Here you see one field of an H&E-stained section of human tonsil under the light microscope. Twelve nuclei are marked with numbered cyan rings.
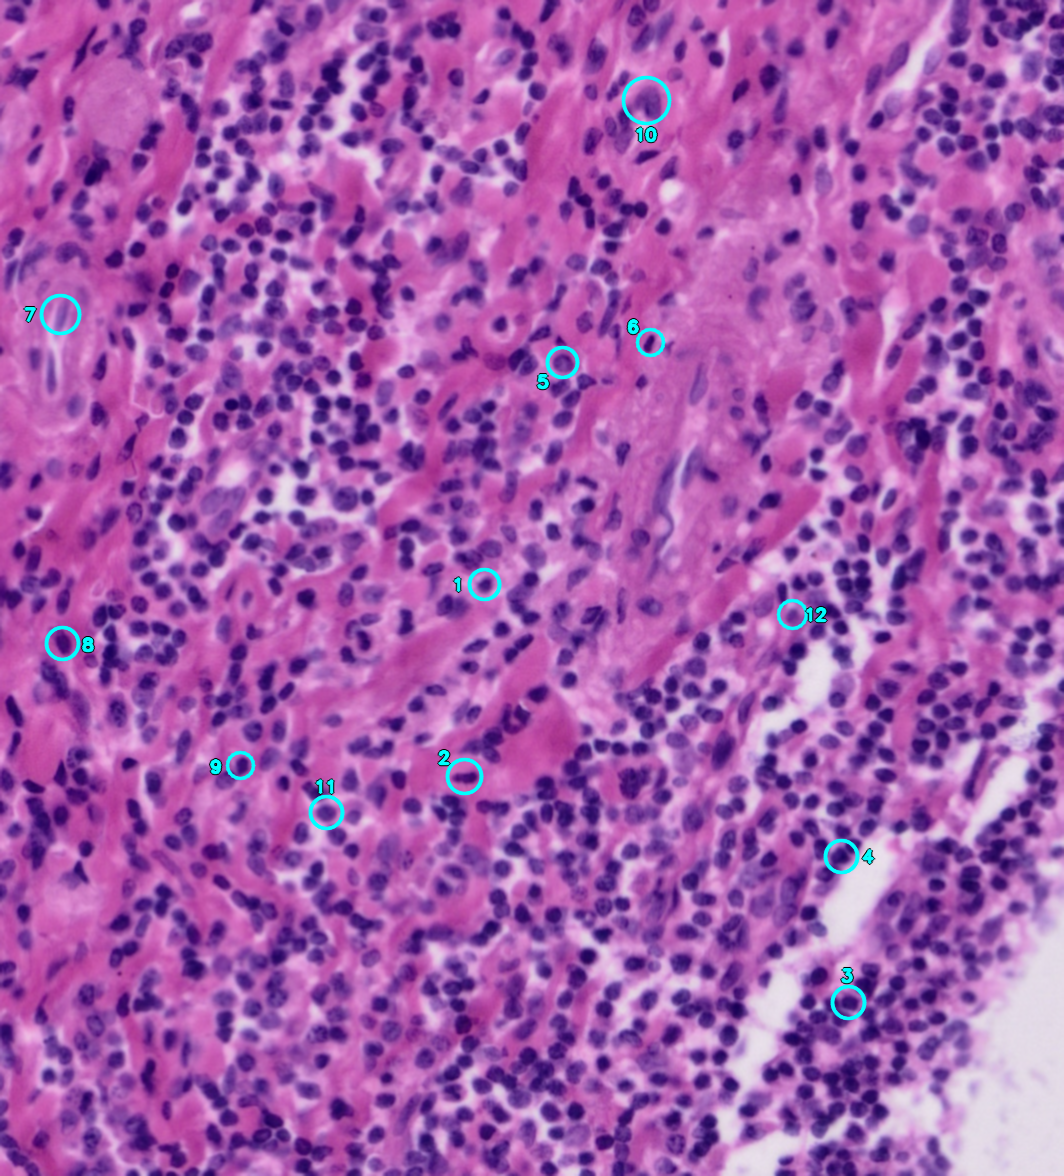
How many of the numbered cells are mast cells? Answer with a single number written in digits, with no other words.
6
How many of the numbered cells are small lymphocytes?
2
